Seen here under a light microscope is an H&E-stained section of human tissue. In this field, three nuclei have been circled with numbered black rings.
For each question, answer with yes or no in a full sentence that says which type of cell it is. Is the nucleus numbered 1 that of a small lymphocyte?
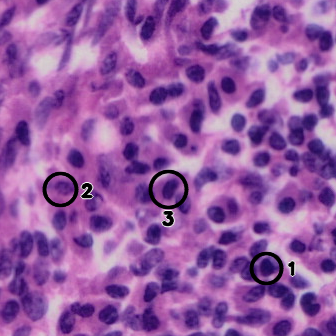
Yes, the marked cell numbered 1 is a small lymphocyte.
